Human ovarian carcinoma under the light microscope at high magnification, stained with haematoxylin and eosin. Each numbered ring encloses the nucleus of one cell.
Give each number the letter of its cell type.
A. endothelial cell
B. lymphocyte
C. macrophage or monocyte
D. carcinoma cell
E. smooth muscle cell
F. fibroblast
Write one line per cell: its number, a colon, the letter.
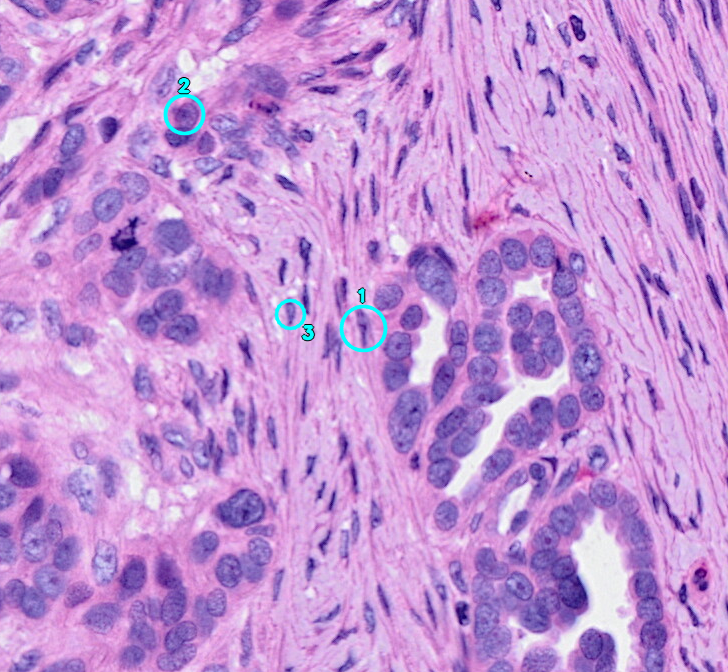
1: F
2: D
3: F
